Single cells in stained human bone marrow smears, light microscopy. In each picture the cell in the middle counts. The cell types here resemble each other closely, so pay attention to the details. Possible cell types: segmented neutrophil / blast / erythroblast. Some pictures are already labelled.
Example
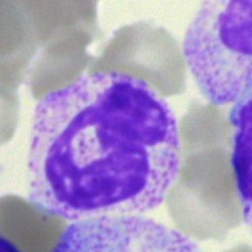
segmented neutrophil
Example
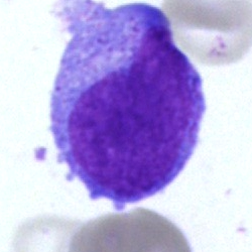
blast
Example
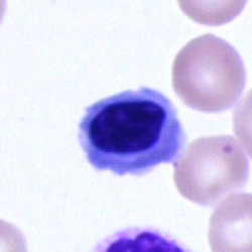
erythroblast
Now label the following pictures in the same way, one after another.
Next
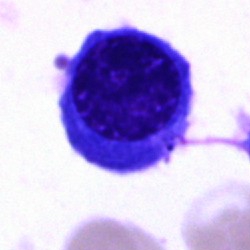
erythroblast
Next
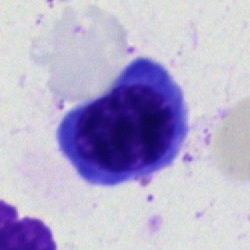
erythroblast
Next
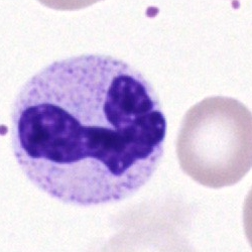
segmented neutrophil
